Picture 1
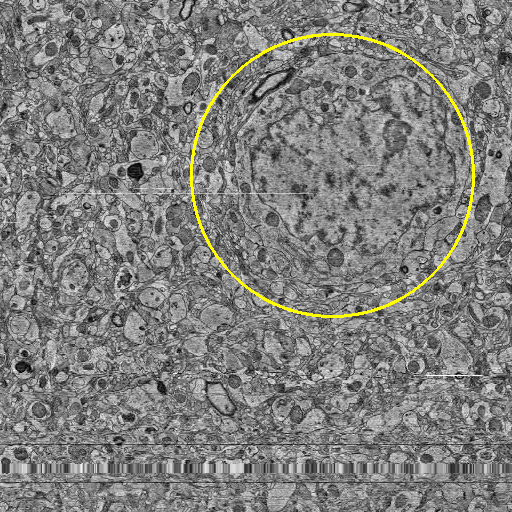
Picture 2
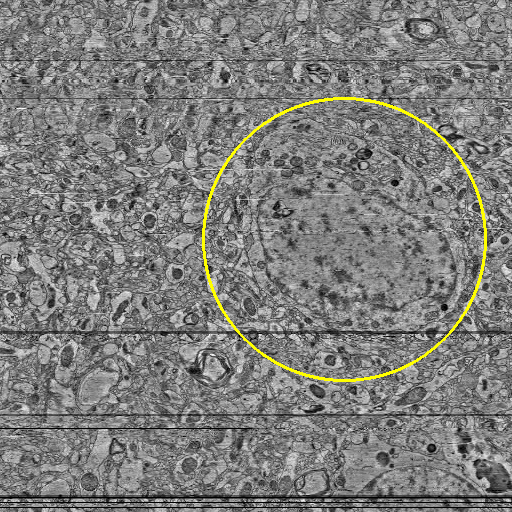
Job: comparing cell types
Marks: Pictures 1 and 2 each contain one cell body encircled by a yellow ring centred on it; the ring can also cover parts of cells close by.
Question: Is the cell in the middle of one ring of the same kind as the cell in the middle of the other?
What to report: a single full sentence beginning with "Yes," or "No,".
Yes, the cell at the ring centre in Picture 1 and its partner in Picture 2 are of one kind.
